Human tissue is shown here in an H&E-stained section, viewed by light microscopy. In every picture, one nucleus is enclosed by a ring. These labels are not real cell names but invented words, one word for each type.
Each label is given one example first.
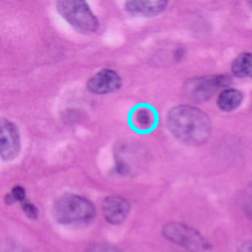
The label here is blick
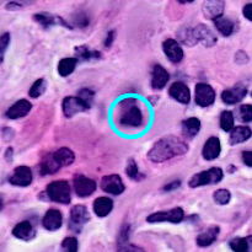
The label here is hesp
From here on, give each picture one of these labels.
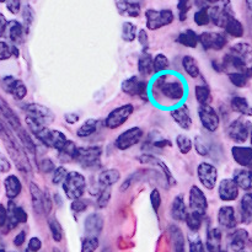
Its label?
hesp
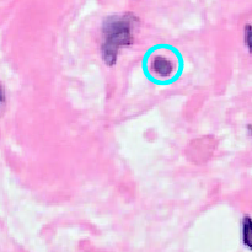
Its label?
hesp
